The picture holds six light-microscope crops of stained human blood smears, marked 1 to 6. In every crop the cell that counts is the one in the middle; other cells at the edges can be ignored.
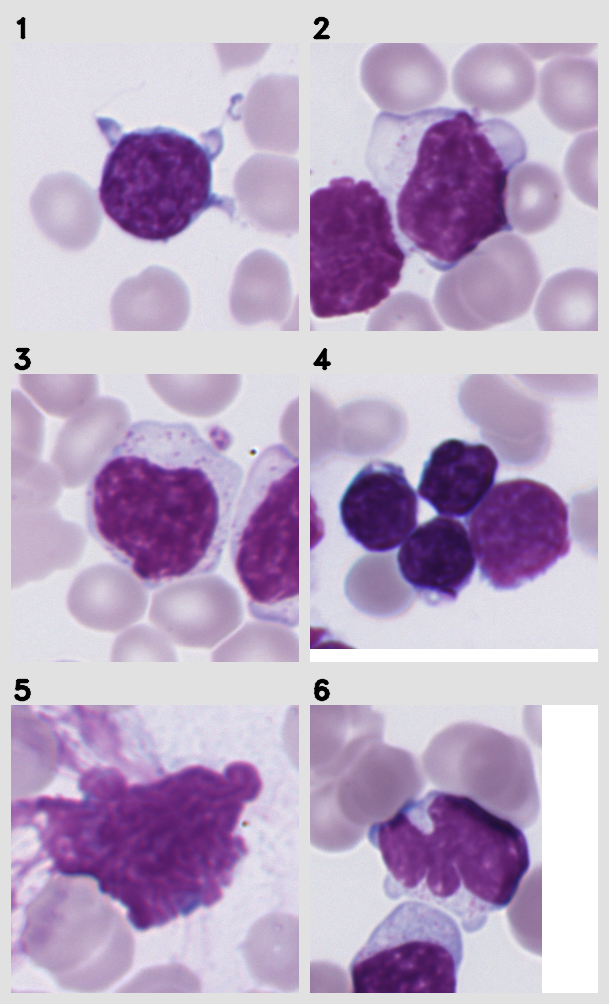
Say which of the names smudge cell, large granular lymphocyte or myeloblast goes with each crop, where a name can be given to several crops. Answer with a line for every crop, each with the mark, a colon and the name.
1: myeloblast
2: large granular lymphocyte
3: large granular lymphocyte
4: myeloblast
5: smudge cell
6: large granular lymphocyte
